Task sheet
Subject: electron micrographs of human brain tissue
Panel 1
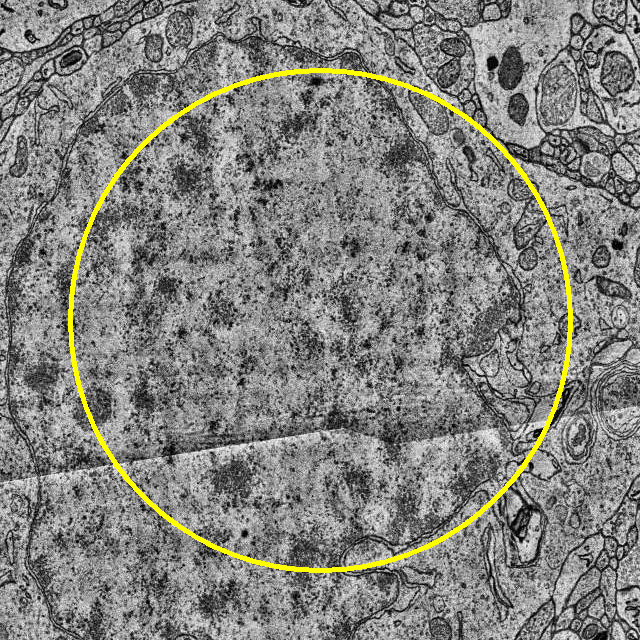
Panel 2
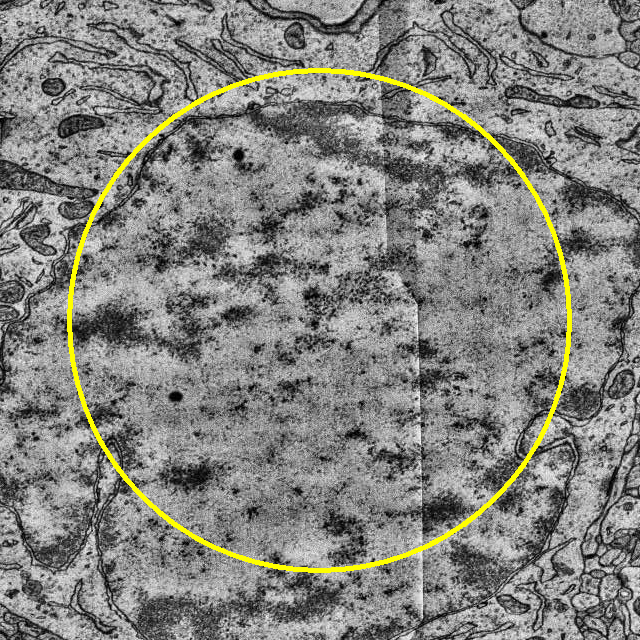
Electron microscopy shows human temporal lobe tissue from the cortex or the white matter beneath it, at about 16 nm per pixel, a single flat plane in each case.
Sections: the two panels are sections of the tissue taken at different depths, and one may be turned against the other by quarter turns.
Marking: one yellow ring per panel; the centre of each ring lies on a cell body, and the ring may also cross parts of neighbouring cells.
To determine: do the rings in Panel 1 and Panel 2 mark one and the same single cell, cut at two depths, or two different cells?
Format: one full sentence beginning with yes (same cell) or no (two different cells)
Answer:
No, the two yellow rings each circle a different cell.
